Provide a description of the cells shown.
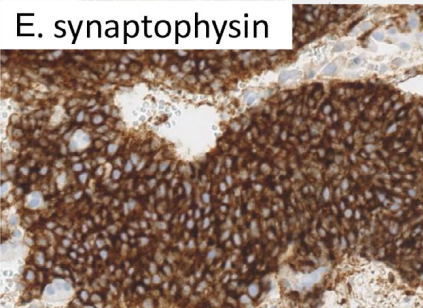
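At high magnification a solid sheet of tightly packed tumour cells is stained strongly brown throughout, the colour filling the cytoplasm and outlining each cell, while the nuclei stand out as paler round to oval shapes within the brown. Cells are small to medium sized with scant cytoplasm and lie in a cohesive mass with little intervening stroma; at the edges a few unstained pale spaces and loose tissue are seen.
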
